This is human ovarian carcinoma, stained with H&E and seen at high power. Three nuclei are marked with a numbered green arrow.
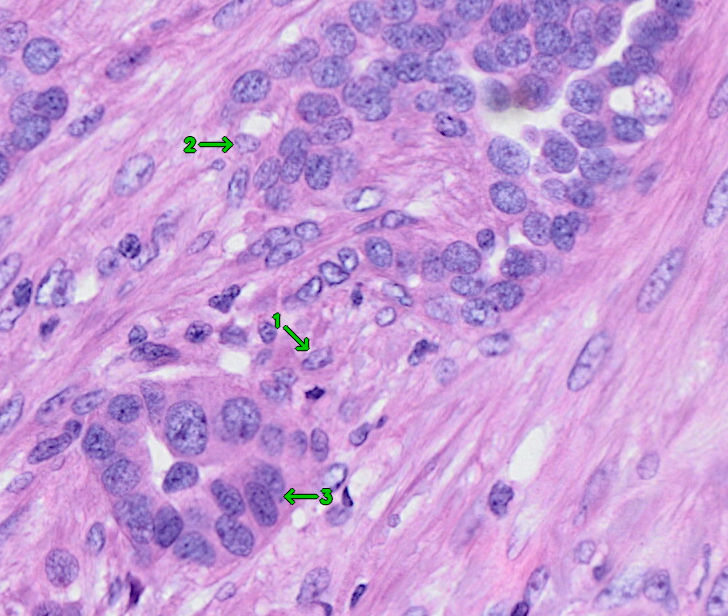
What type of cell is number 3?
carcinoma cell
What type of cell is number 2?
fibroblast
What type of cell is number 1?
fibroblast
